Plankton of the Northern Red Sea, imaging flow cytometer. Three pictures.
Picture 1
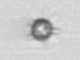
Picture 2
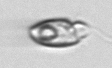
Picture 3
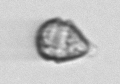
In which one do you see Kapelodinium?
In picture 2.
